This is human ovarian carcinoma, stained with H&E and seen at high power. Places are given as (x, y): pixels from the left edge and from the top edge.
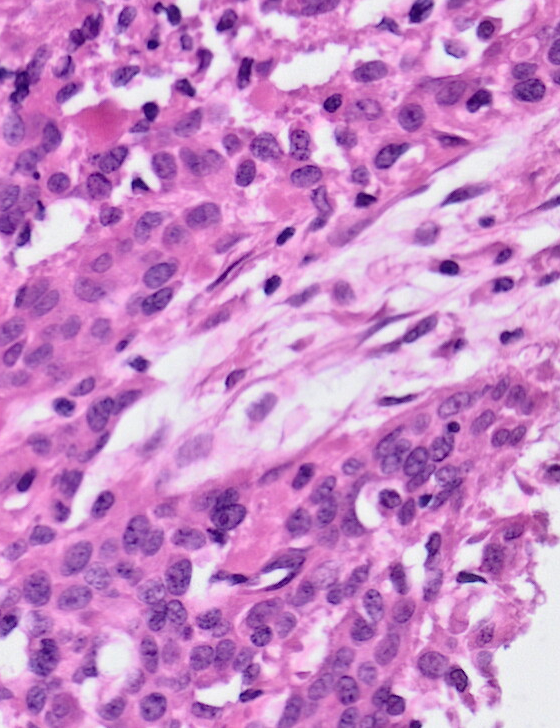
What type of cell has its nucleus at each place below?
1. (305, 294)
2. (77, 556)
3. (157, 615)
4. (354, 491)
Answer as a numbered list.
1. fibroblast
2. carcinoma cell
3. carcinoma cell
4. carcinoma cell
